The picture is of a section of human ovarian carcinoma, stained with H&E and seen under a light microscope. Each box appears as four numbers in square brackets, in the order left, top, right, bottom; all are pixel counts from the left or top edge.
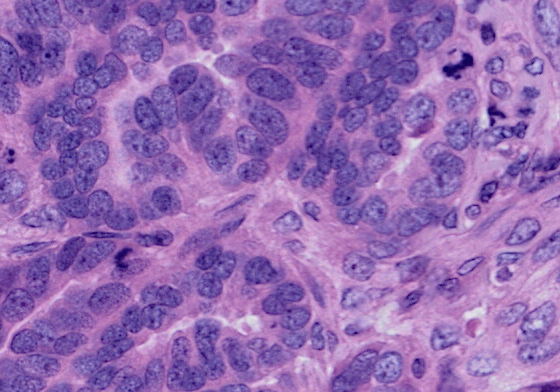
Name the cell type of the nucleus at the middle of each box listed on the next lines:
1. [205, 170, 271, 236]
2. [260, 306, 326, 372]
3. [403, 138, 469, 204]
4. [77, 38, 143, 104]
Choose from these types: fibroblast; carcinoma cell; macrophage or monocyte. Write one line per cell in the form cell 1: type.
cell 1: fibroblast
cell 2: carcinoma cell
cell 3: carcinoma cell
cell 4: carcinoma cell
